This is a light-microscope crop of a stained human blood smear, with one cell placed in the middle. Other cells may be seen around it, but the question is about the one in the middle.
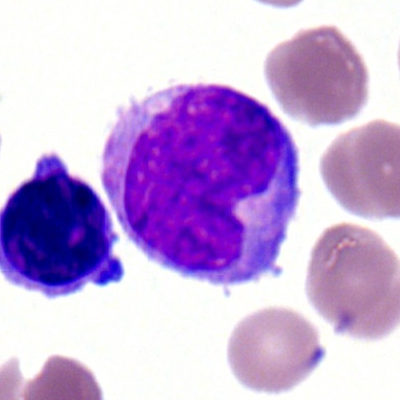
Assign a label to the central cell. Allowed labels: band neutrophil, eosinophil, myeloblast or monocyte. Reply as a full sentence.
Looking at the middle of the crop, the cell there is a monocyte.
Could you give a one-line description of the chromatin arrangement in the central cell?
There is no coarse clumping; the chromatin stays fine throughout.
